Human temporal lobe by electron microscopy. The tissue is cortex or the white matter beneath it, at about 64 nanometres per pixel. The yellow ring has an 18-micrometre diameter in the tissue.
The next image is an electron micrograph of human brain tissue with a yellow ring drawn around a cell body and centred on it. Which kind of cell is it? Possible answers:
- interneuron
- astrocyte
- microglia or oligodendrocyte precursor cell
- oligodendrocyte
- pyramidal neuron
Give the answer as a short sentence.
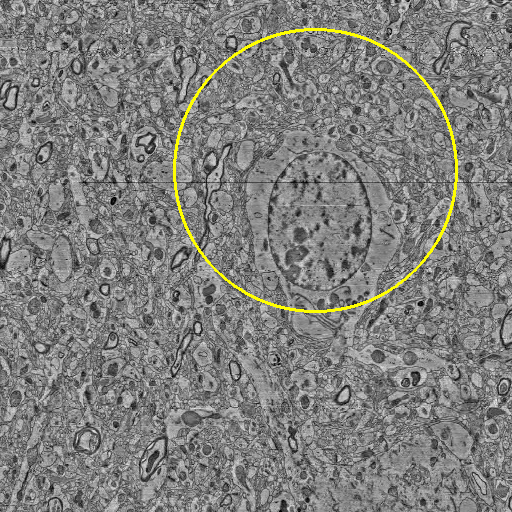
In the ring's centre is an astrocyte.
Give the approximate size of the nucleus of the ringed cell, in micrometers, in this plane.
The nucleus has a long axis of about 9 micrometres and a short axis of about 7 micrometres in this plane.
